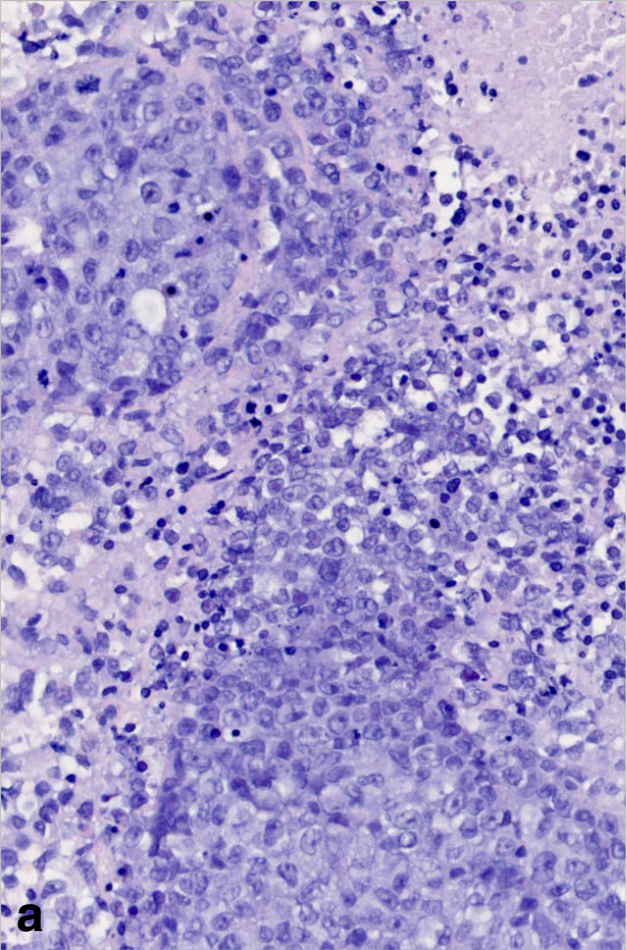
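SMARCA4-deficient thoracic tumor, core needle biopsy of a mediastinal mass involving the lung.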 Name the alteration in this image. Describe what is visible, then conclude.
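The upper right corner is a pale pink acellular area. Small dark pyknotic nuclei and debris are scattered near that area.
Answer: Partially necrotic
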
